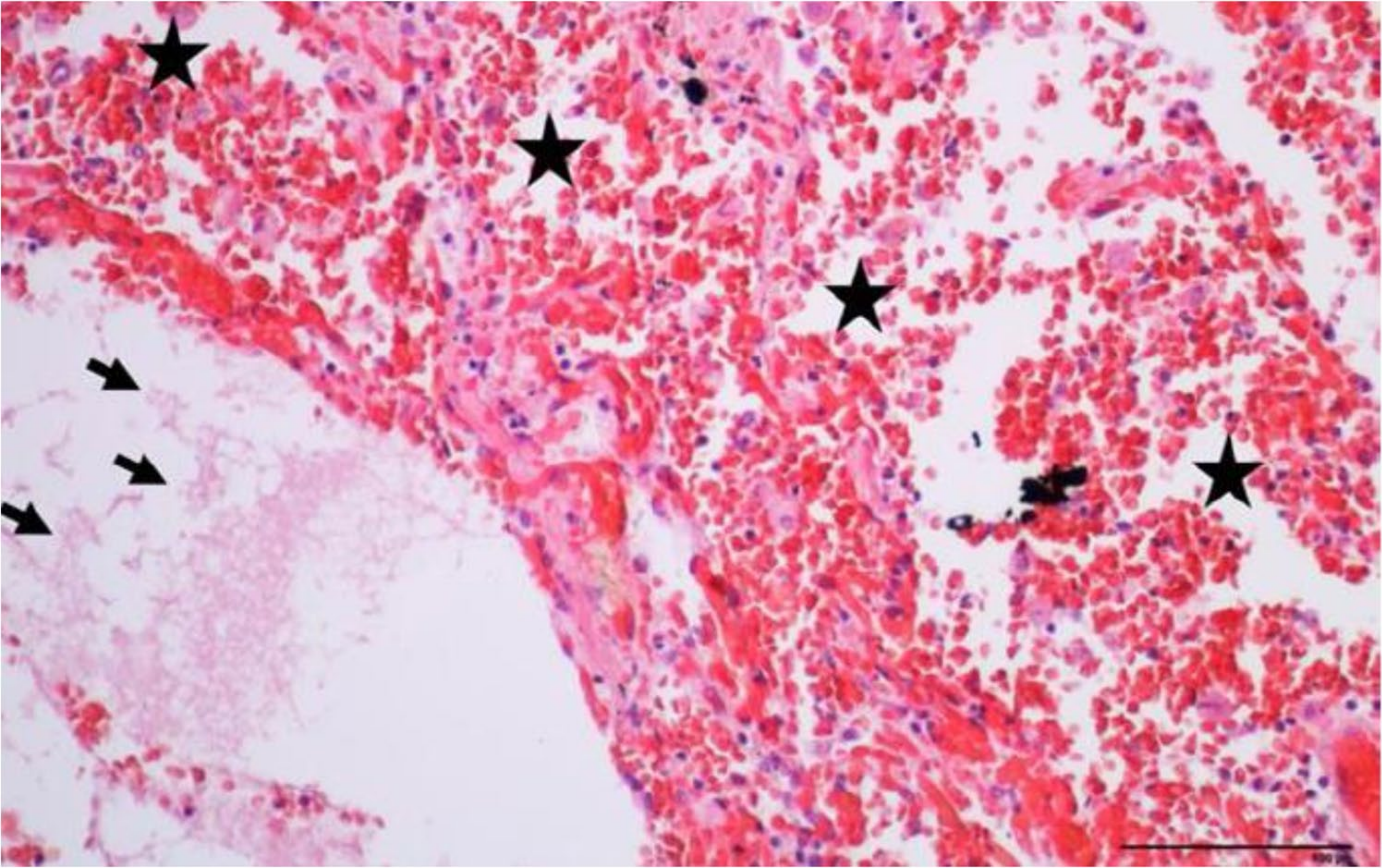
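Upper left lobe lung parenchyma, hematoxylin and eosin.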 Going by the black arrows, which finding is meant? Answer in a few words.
Fluid.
